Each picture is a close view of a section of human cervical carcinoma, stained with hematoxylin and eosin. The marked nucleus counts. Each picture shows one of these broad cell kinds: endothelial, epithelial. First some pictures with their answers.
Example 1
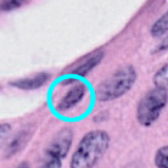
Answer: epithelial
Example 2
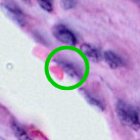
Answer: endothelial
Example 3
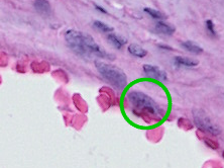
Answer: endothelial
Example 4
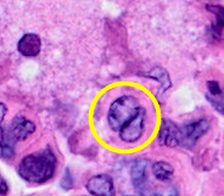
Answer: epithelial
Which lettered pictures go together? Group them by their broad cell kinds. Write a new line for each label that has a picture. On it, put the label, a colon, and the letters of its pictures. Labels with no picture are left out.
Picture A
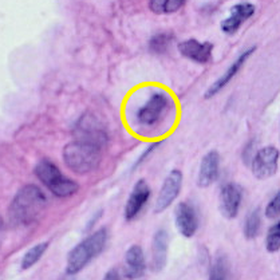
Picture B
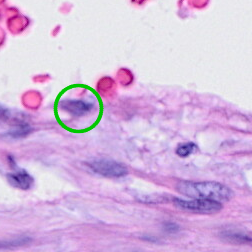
endothelial: B
epithelial: A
